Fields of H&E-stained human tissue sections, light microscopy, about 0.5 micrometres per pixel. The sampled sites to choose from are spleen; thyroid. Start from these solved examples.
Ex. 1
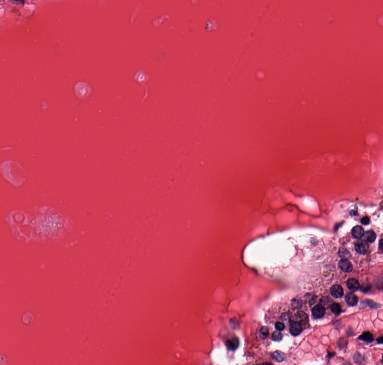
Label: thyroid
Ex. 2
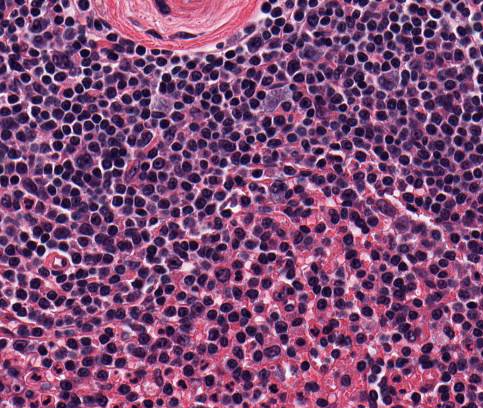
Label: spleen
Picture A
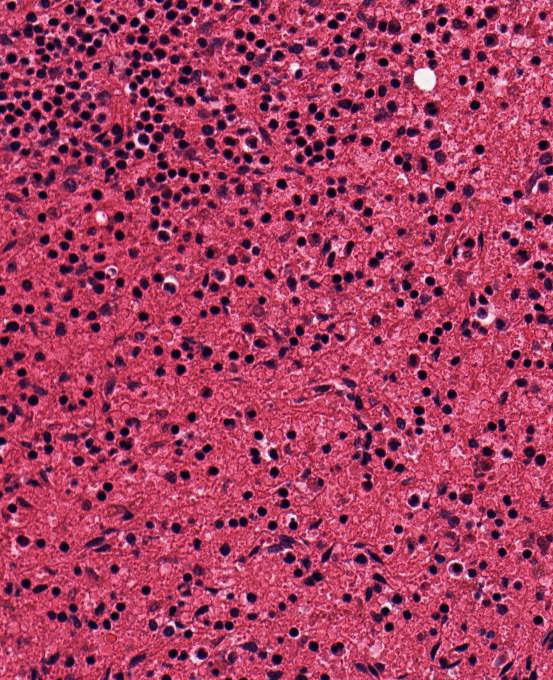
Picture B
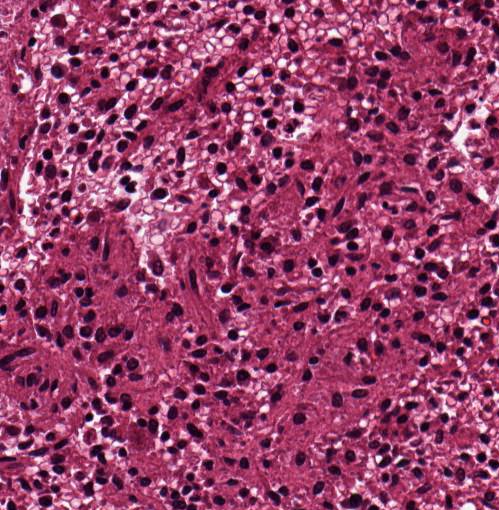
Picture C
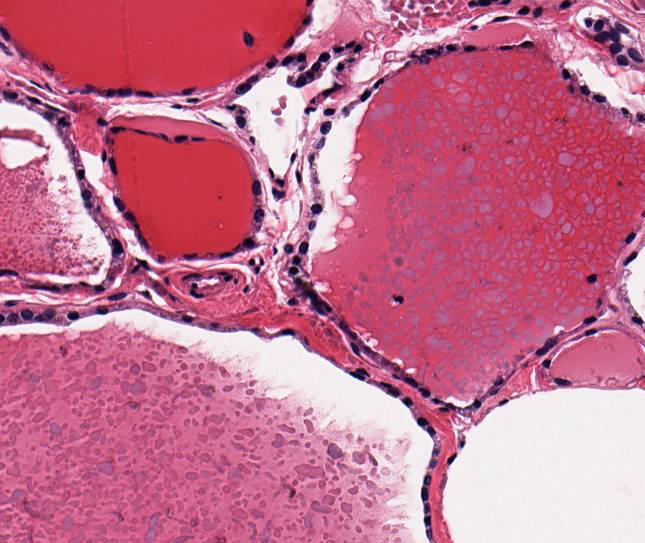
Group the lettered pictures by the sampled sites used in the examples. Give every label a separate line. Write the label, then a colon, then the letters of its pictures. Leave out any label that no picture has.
spleen: A, B
thyroid: C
